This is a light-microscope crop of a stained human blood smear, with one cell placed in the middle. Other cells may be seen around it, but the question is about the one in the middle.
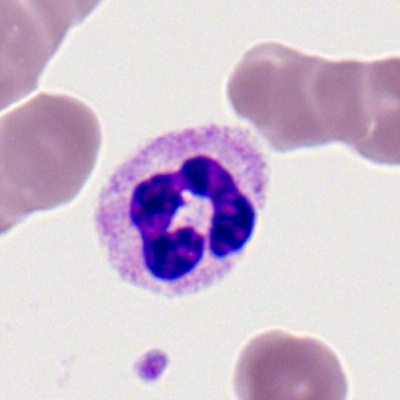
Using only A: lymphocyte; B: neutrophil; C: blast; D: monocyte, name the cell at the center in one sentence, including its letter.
The middle of the crop holds a neutrophil, which points to option B.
